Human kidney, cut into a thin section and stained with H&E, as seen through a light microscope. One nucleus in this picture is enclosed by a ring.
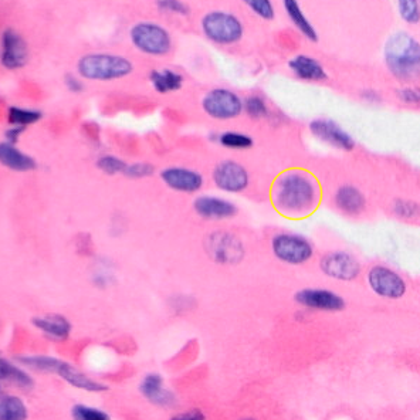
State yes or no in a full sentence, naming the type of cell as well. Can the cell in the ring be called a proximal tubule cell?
No, on this slide the cell in the ring is a loop of Henle or distal tubule cell, not a proximal tubule cell.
